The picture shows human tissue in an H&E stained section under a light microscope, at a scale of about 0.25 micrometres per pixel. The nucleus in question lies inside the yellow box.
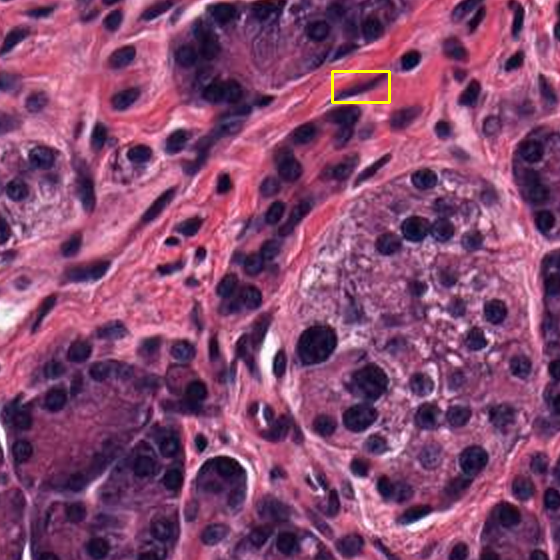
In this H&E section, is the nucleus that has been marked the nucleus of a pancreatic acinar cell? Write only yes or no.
no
